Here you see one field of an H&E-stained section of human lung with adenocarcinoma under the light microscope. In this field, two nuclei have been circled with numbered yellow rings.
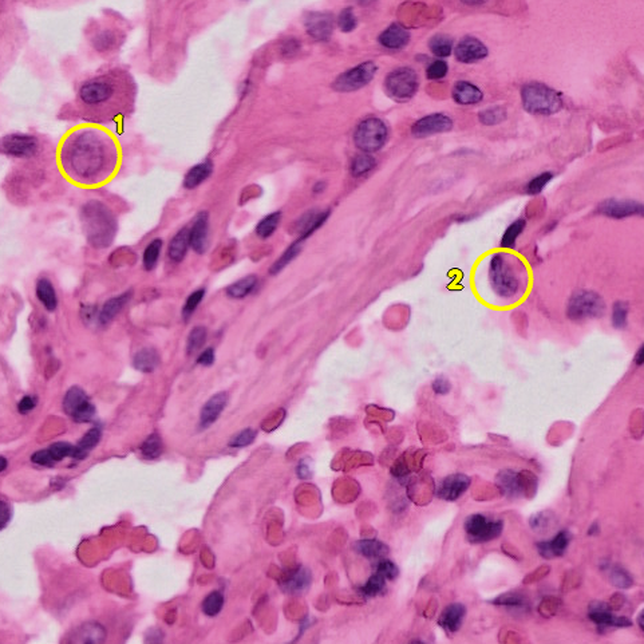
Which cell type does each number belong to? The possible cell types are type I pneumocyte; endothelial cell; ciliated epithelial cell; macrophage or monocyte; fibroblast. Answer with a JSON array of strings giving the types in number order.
["macrophage or monocyte", "type I pneumocyte"]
